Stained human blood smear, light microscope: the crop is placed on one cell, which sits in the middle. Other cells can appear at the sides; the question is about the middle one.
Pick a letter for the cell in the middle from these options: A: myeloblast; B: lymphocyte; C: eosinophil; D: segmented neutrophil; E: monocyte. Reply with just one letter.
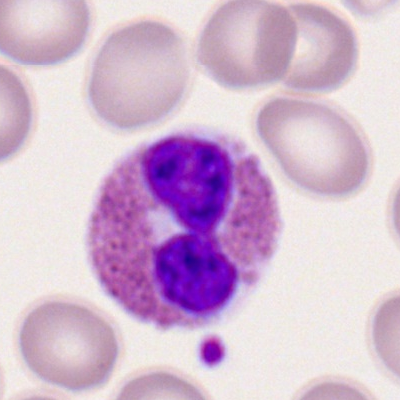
C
